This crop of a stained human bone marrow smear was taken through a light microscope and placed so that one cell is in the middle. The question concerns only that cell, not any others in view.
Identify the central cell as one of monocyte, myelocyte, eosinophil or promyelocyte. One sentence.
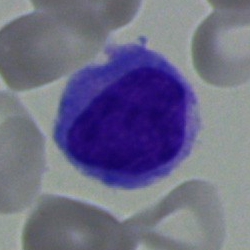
The central cell, amid any neighbouring cells, is a monocyte.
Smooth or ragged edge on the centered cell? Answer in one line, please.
The cell outline lacks smoothness, being ragged or extended into projections.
